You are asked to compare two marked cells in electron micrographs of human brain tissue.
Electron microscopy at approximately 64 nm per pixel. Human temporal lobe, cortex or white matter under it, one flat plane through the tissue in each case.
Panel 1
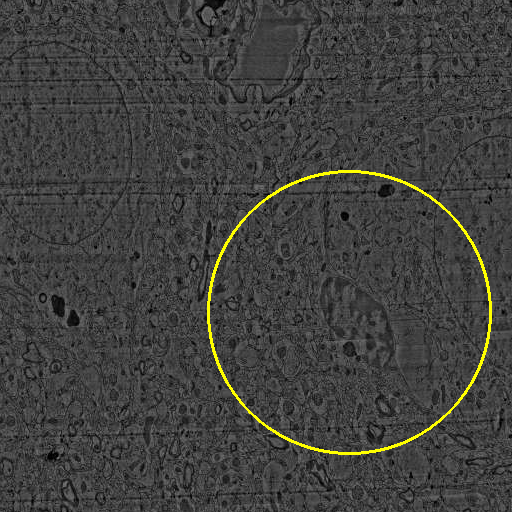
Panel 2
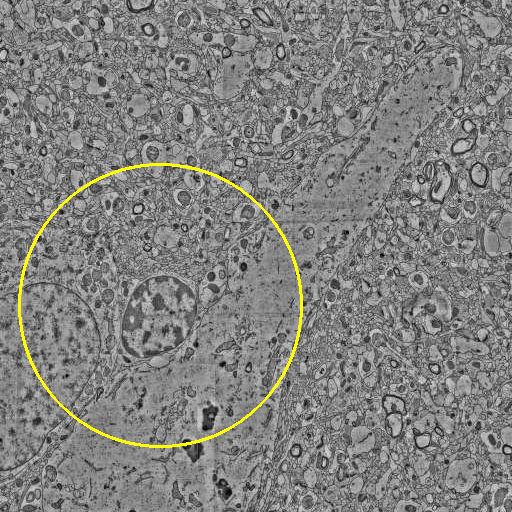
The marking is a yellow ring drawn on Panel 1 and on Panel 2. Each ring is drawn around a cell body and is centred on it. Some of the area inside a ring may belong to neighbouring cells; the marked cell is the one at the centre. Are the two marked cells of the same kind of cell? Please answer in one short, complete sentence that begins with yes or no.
Yes, the two marked cells are of the same kind.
